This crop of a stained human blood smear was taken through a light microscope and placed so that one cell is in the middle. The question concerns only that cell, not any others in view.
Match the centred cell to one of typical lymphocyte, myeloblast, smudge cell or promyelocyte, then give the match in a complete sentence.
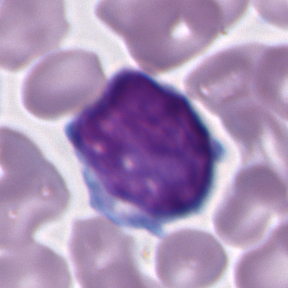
Centrally within this crop lies a myeloblast.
